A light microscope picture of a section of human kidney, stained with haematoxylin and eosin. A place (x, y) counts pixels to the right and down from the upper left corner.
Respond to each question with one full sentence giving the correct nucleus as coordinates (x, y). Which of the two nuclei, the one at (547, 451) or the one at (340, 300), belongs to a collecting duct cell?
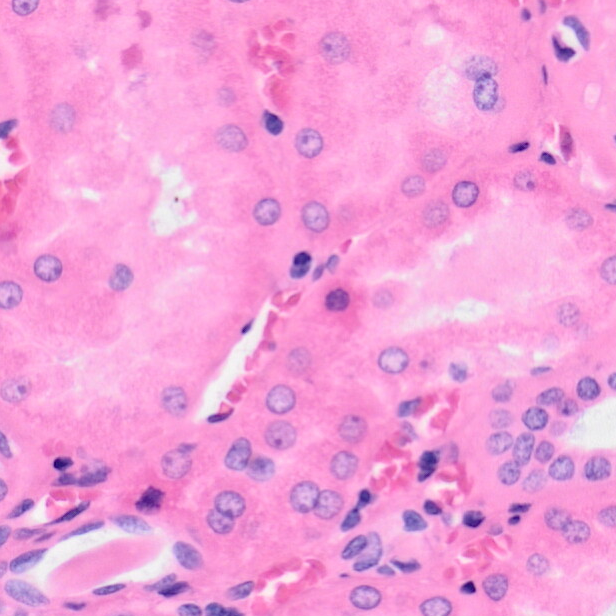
The nucleus that sits at (547, 451) is the nucleus of a collecting duct cell.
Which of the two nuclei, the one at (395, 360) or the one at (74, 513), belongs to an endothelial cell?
Of the pair, the nucleus located at (74, 513) belongs to an endothelial cell.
